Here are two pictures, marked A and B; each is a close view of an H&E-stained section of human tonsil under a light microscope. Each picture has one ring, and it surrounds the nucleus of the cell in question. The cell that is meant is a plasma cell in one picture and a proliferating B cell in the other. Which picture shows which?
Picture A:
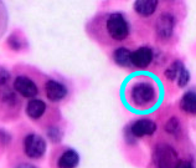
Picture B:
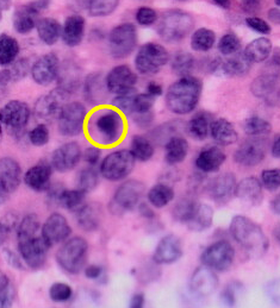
A: plasma cell
B: proliferating B cell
